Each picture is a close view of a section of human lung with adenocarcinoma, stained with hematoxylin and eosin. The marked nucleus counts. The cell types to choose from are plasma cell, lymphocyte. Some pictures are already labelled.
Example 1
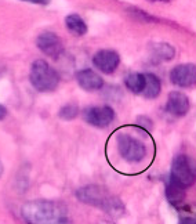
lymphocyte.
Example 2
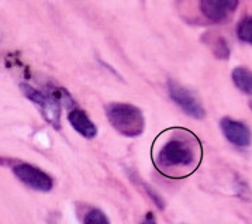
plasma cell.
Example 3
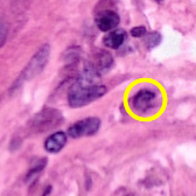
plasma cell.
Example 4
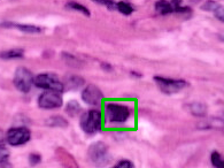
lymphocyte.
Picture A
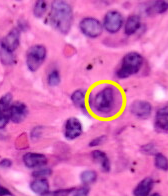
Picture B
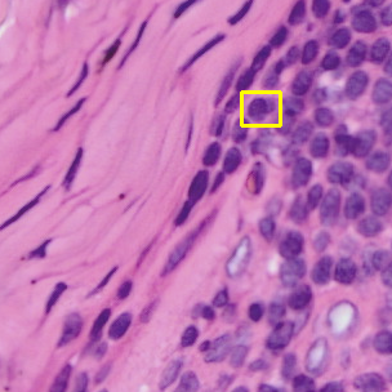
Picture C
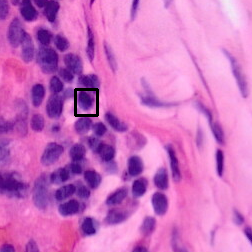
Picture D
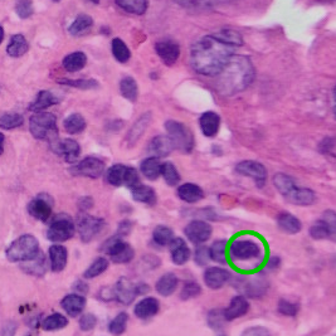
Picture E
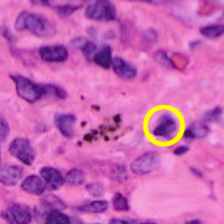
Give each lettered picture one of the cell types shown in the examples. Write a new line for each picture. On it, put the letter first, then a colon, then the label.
A: plasma cell.
B: lymphocyte.
C: lymphocyte.
D: lymphocyte.
E: lymphocyte.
